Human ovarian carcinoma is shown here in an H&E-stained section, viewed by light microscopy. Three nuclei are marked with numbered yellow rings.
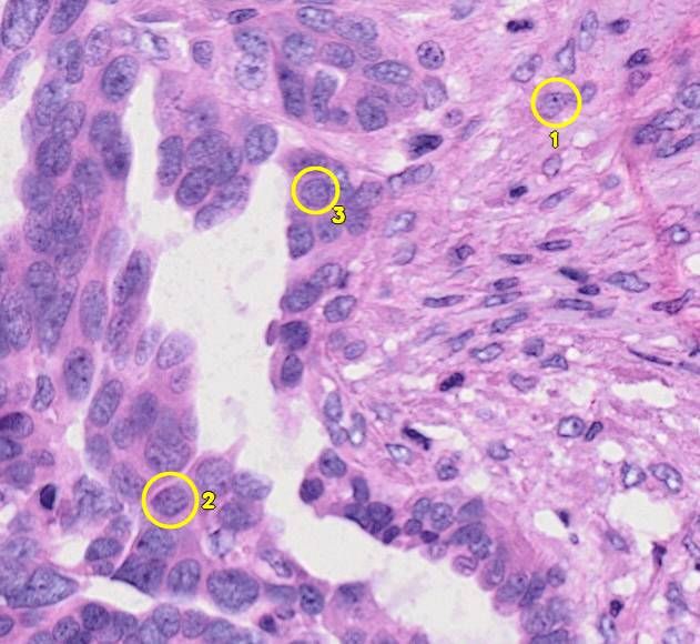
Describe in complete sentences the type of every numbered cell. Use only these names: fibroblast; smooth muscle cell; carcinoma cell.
Cell 1 is a fibroblast, cell 2 is a carcinoma cell and cell 3 is a carcinoma cell.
